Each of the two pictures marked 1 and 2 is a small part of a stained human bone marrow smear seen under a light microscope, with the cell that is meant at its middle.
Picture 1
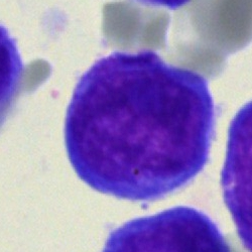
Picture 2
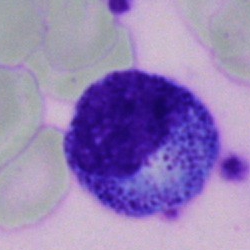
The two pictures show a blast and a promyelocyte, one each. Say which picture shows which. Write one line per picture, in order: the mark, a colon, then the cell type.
1: blast
2: promyelocyte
